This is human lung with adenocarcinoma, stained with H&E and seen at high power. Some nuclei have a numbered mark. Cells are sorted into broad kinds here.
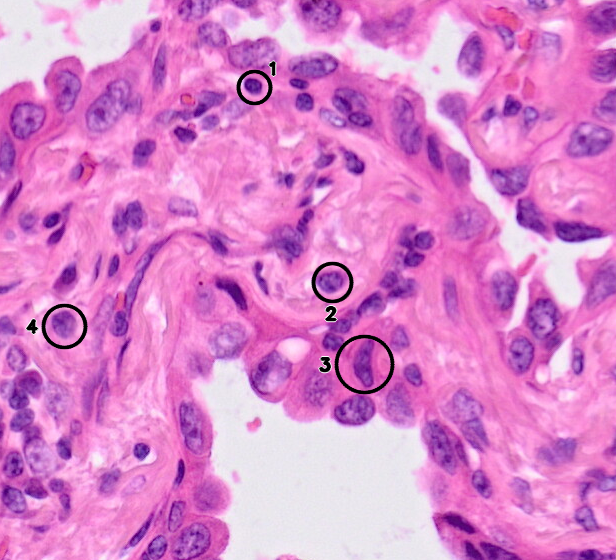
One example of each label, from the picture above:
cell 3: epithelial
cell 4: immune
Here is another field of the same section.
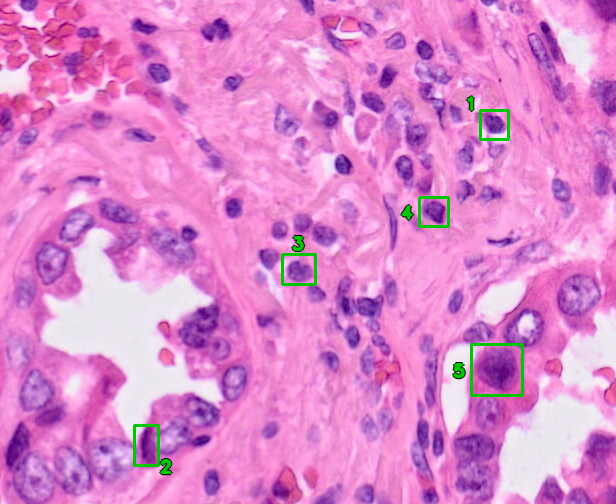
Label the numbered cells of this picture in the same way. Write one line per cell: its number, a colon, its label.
1: immune
2: epithelial
3: immune
4: immune
5: epithelial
